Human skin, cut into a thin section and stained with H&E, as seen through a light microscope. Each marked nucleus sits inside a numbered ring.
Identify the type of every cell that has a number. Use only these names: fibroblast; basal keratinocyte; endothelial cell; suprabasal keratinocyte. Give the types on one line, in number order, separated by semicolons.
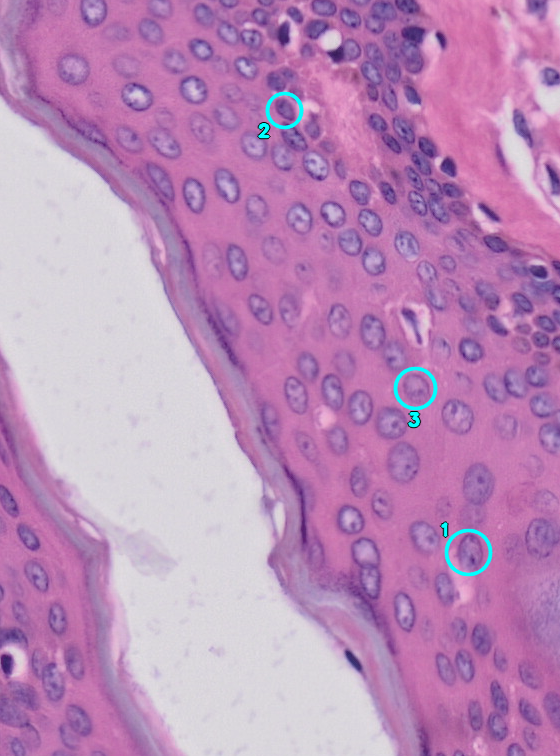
suprabasal keratinocyte; basal keratinocyte; suprabasal keratinocyte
